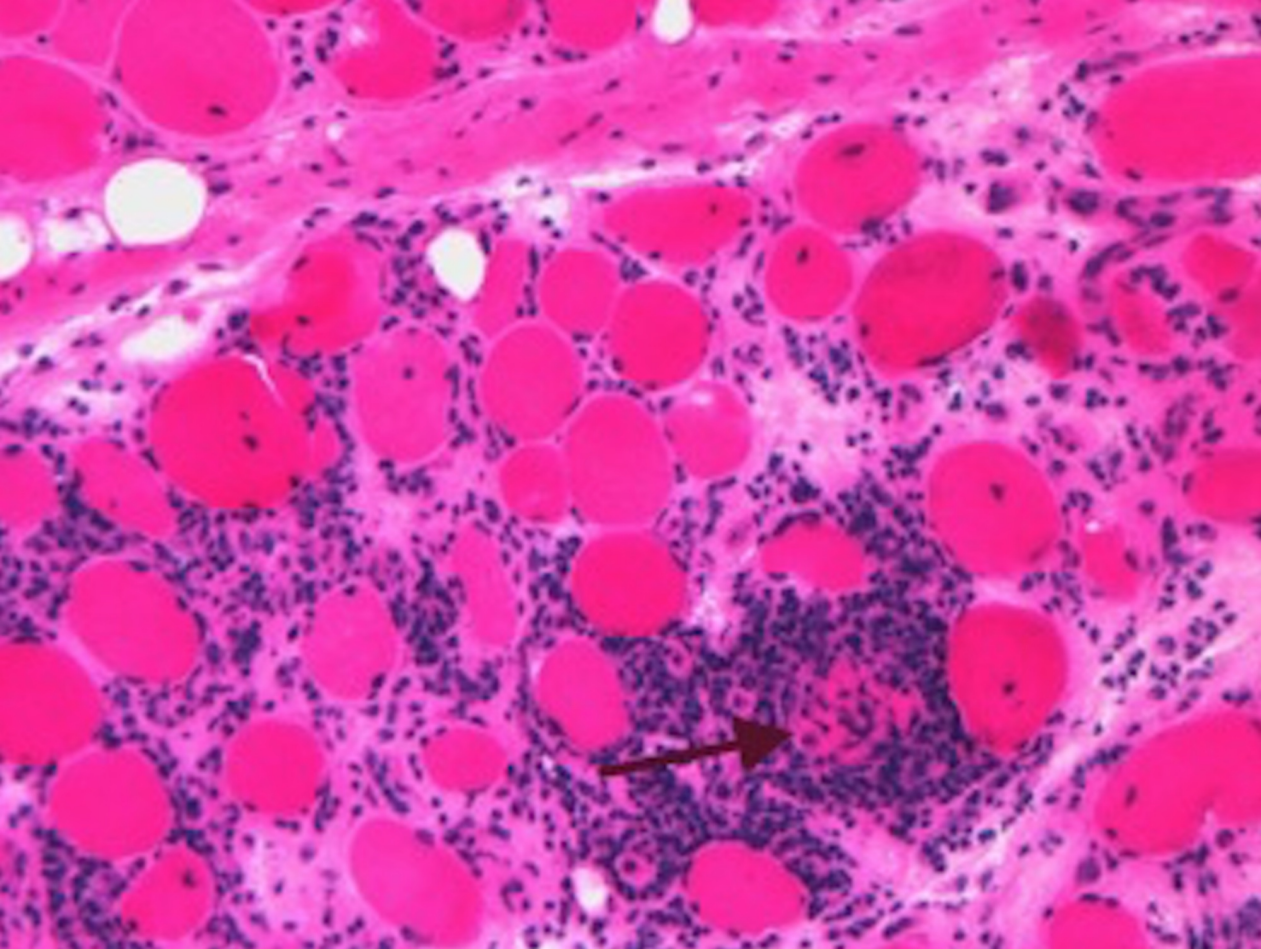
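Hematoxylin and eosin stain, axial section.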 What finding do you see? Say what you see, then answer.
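Variation of muscle fiber size. Round pink fibers range from small to several times larger in cross-section. Small and large fibers lie side by side.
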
